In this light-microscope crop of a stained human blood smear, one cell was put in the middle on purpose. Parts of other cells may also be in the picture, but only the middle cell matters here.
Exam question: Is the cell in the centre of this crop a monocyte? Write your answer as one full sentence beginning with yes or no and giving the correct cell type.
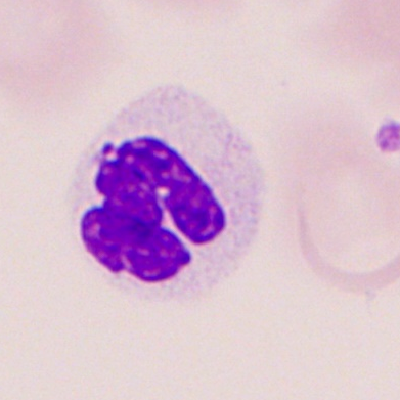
No, looking at the central cell, it is a segmented neutrophil rather than a monocyte.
